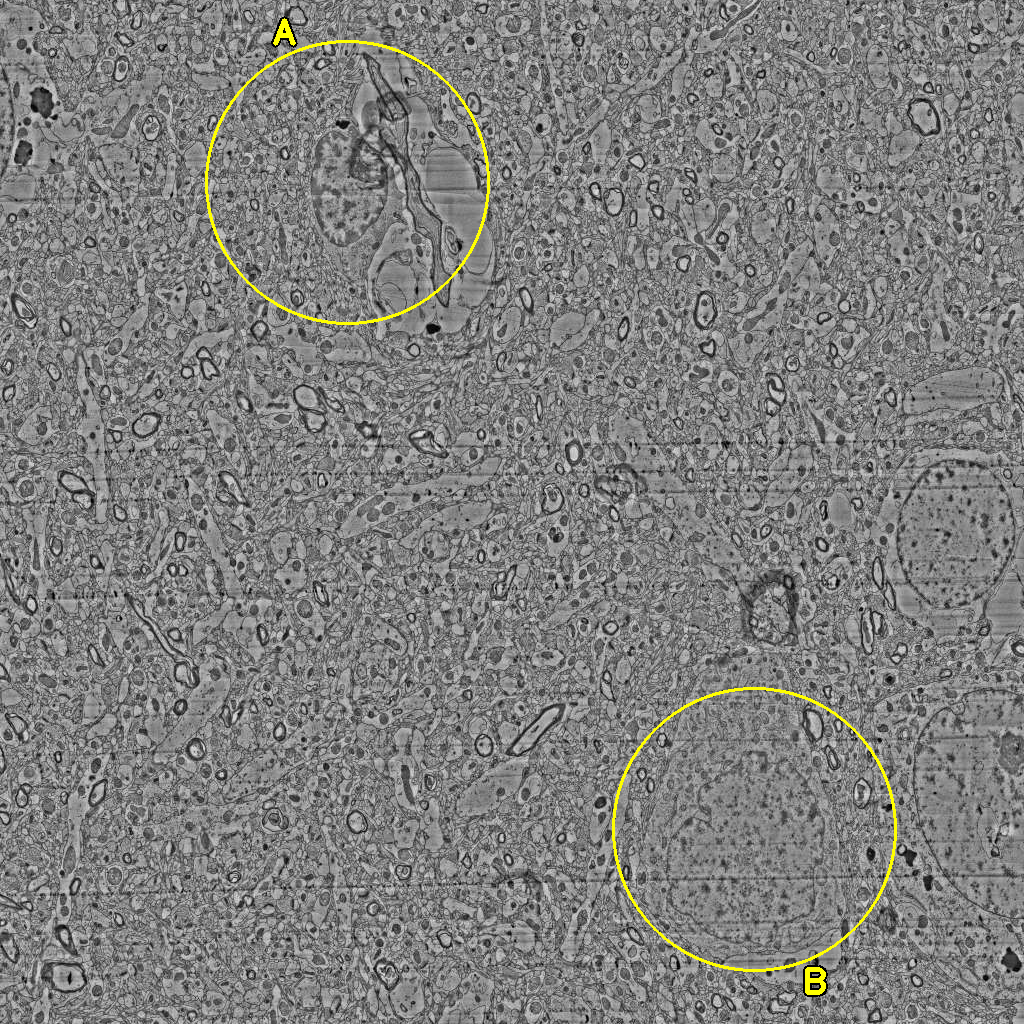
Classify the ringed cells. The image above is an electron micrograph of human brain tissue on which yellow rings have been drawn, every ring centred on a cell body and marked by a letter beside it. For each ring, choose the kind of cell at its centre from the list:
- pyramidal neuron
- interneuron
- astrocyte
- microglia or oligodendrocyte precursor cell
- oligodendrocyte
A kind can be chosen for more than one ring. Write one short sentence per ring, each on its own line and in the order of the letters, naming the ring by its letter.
Ring A is placed around an oligodendrocyte.
Ring B is placed around an interneuron.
